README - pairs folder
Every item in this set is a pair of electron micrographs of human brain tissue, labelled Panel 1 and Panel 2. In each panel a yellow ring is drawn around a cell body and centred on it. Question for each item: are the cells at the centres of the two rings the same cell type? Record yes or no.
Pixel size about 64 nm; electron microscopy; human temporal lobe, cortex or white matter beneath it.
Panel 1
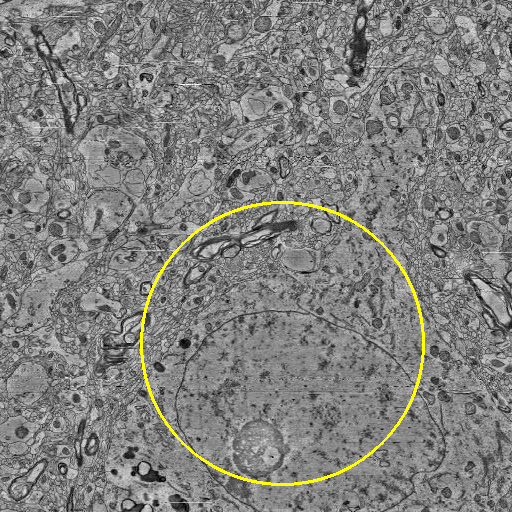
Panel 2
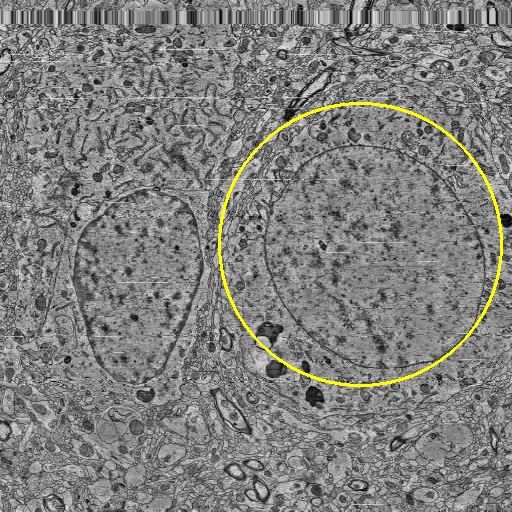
yes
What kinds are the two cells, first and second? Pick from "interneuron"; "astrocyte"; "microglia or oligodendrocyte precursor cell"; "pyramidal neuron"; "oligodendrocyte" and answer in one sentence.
The first and the second cell are each a pyramidal neuron.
